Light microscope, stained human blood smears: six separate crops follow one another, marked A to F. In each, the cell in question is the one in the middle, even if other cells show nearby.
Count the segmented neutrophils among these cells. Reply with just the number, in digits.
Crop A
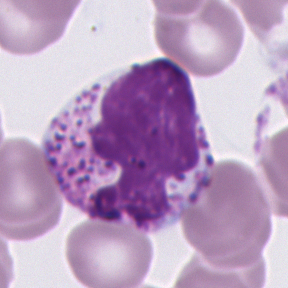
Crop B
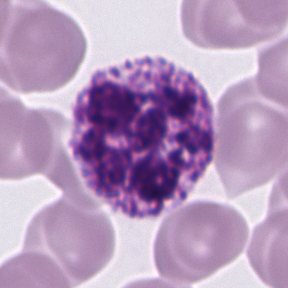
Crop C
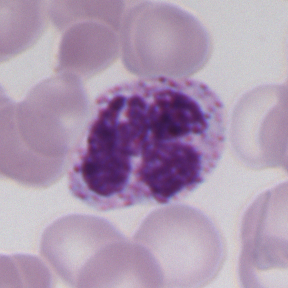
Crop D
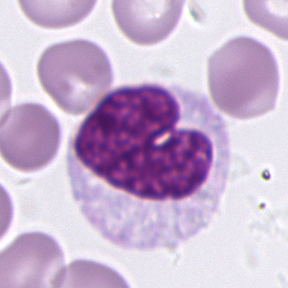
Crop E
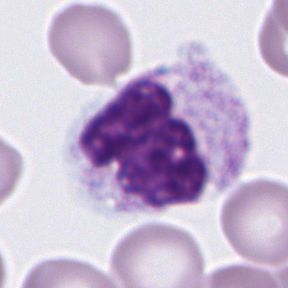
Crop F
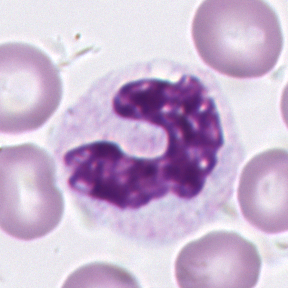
1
